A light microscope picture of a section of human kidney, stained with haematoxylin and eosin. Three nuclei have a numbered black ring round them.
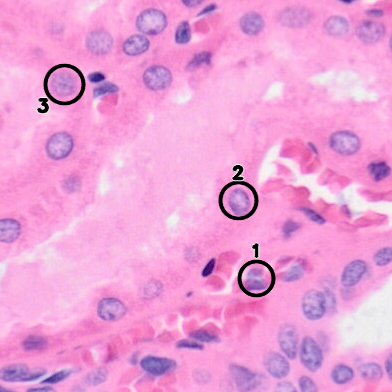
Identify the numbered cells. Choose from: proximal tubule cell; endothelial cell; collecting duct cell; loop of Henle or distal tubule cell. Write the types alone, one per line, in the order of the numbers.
endothelial cell
proximal tubule cell
proximal tubule cell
